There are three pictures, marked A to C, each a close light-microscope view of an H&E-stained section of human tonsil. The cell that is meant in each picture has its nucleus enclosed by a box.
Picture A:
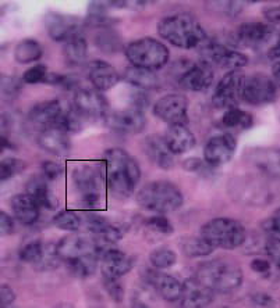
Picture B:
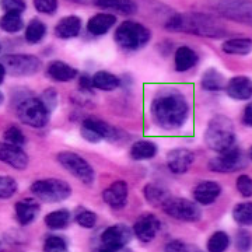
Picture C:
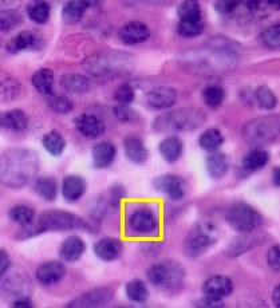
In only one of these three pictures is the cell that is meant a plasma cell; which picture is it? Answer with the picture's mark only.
C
